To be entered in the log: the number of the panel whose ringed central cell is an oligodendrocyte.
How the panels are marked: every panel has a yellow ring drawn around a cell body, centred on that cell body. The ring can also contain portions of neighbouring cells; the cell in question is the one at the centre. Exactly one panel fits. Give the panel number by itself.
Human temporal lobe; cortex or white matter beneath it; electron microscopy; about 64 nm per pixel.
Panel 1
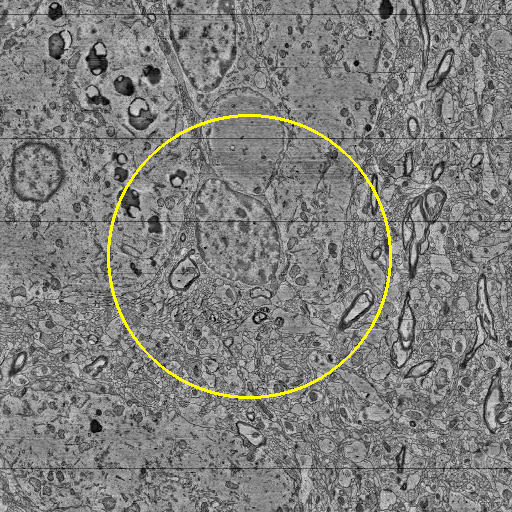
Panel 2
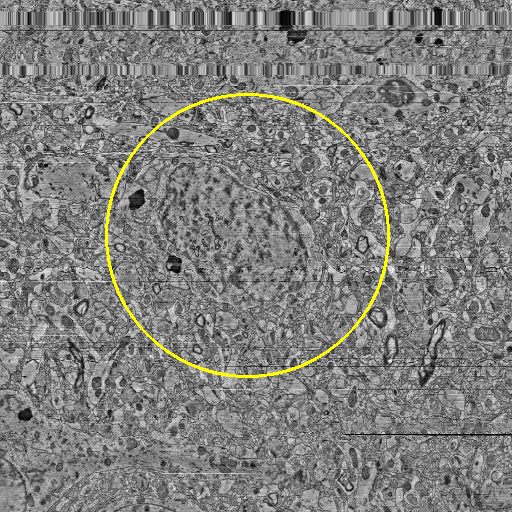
1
